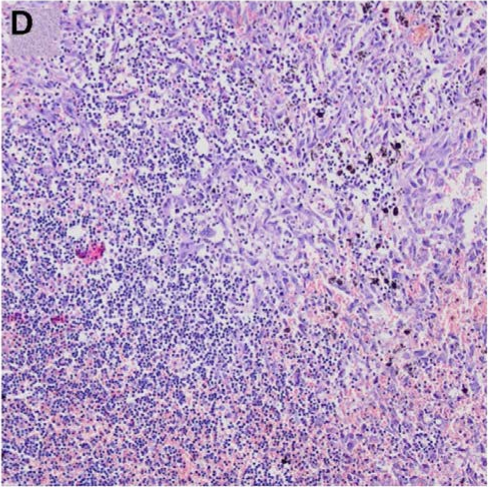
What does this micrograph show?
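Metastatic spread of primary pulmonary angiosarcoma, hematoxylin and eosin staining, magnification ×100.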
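Lymph node invaded by tumor. At lower left a dense sheet of small round lymphocytes with dark, compact nuclei and little cytoplasm. Toward the upper right these give way to spindle-shaped tumor cells with elongated, pale-to-purple nuclei and pink cytoplasm, arranged in loose, disorderly fascicles, with scattered extravasated red blood cells. Coarse black pigment granules lie in clumps among the spindle cells. The border between lymphoid tissue and tumor is irregular, with lymphocytes intermingling with tumor cells.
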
